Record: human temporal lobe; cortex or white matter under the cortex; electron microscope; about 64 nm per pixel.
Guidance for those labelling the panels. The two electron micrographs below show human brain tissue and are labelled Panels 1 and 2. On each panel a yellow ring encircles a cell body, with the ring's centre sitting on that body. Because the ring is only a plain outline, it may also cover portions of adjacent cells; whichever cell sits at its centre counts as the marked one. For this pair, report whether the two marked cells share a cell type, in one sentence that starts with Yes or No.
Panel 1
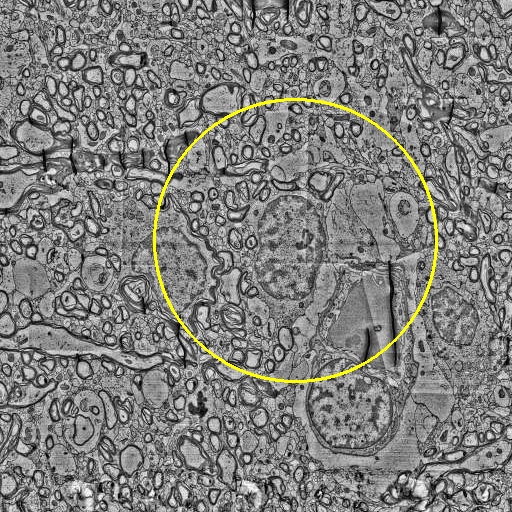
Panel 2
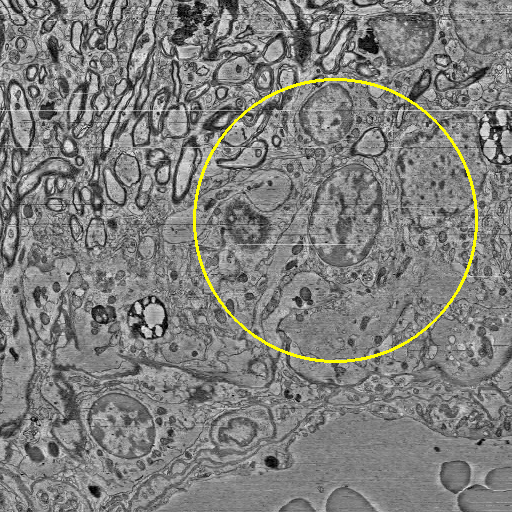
No, in Panel 1 and Panel 2 the marked cells at the ring centres are of two types.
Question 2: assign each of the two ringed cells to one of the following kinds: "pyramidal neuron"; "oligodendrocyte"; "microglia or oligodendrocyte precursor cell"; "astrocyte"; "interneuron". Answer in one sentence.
The two cells are an oligodendrocyte in the first picture and a microglial cell or oligodendrocyte precursor cell in the second.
